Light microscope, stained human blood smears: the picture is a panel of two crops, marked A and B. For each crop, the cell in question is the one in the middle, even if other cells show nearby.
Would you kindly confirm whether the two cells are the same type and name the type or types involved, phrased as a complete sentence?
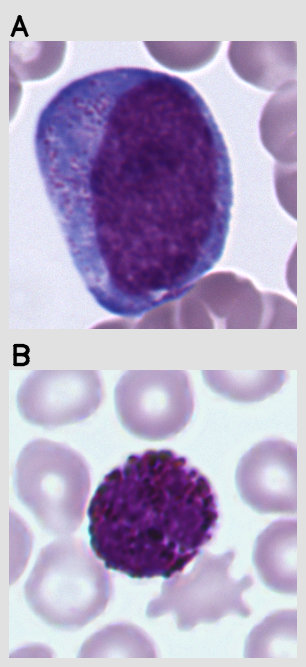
No, crop A contains a promyelocyte, and crop B contains a basophil.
